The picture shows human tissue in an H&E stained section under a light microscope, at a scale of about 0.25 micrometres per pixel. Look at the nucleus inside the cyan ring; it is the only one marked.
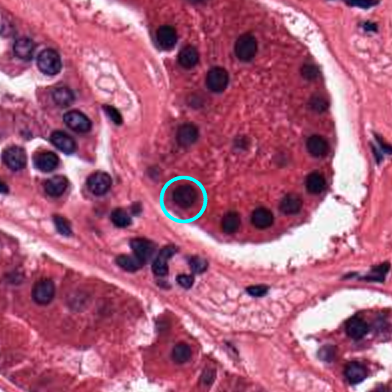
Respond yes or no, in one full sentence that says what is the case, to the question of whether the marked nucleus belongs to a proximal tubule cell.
Yes, the owner of the marked nucleus is a proximal tubule cell.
